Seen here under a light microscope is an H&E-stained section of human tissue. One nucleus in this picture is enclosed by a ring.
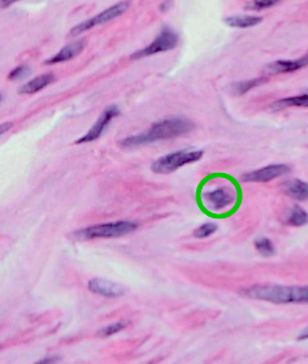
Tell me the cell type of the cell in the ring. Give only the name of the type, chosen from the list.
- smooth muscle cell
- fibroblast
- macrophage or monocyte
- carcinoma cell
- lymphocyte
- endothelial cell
smooth muscle cell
